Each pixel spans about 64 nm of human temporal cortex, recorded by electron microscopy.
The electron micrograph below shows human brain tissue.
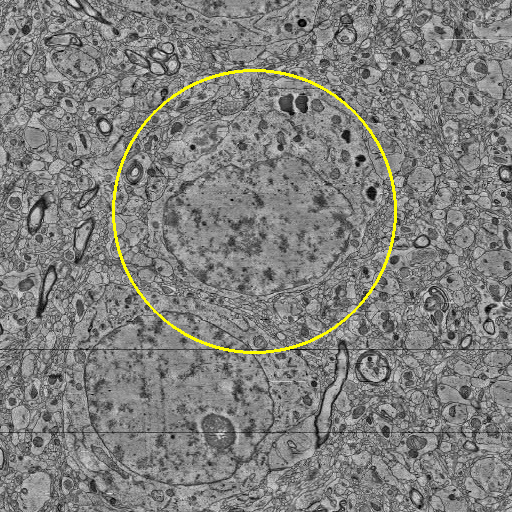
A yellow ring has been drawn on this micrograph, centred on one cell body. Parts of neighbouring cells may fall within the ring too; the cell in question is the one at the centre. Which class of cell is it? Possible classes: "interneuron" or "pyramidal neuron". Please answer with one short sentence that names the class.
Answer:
In the centre of the ring sits an interneuron.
